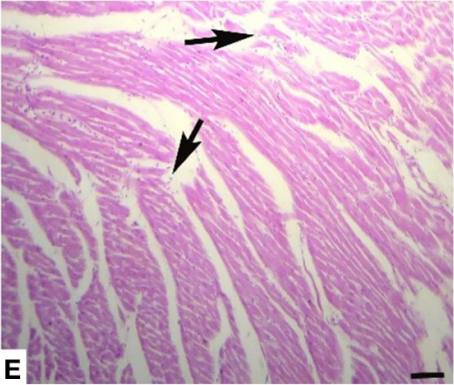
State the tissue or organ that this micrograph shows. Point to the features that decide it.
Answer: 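Long pink-staining muscle fibres running in parallel bundles. Clear gaps separate the fibre bundles. The answer: cardiac muscles.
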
